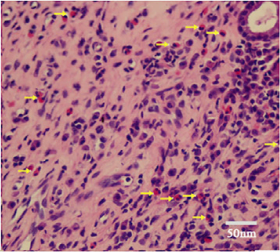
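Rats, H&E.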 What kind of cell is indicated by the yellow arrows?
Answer: Eosinophils.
